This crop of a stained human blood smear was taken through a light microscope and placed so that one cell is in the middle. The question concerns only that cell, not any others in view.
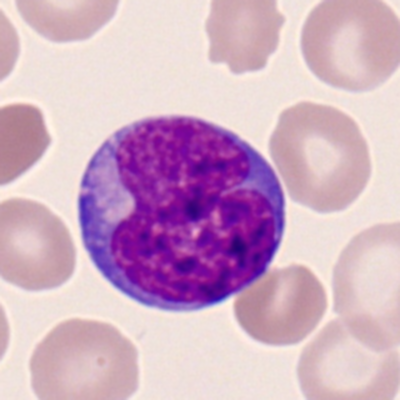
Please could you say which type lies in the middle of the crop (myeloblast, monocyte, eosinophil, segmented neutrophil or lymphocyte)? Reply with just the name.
myeloblast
